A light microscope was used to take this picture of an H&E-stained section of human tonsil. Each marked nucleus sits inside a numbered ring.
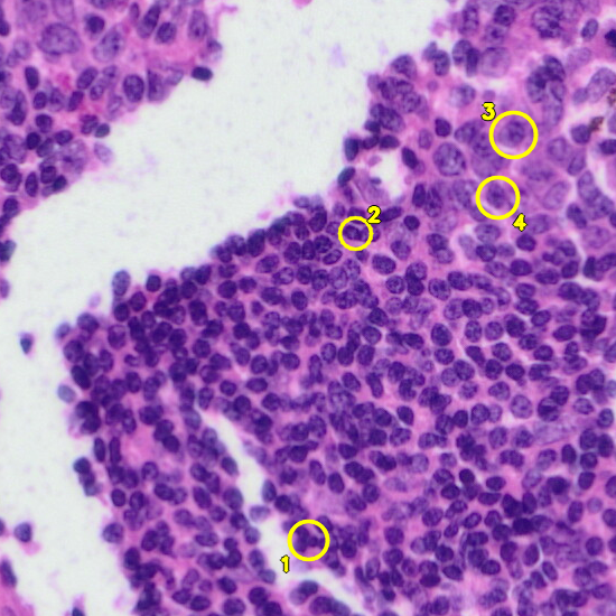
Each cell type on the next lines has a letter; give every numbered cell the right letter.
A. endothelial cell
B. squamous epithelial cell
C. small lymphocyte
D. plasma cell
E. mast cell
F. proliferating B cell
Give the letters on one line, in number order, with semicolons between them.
C; C; F; F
